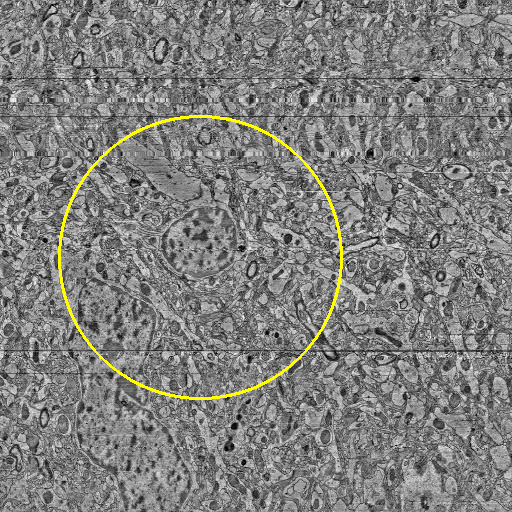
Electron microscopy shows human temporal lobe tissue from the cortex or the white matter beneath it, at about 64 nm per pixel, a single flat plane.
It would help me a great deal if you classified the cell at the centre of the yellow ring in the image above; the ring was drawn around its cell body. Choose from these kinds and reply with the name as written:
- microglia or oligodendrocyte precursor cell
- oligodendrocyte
microglia or oligodendrocyte precursor cell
